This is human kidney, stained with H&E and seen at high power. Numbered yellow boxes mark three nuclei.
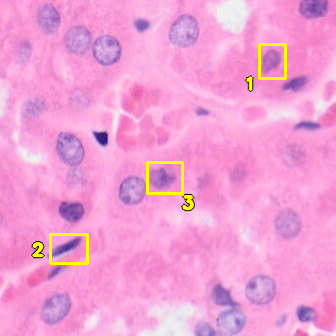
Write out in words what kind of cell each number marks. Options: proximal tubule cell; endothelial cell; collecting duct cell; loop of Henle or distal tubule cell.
Cell 1 is a proximal tubule cell, cell 2 is an endothelial cell and cell 3 is a proximal tubule cell.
